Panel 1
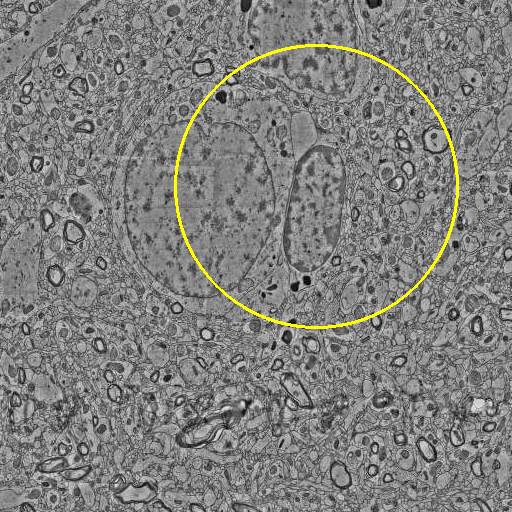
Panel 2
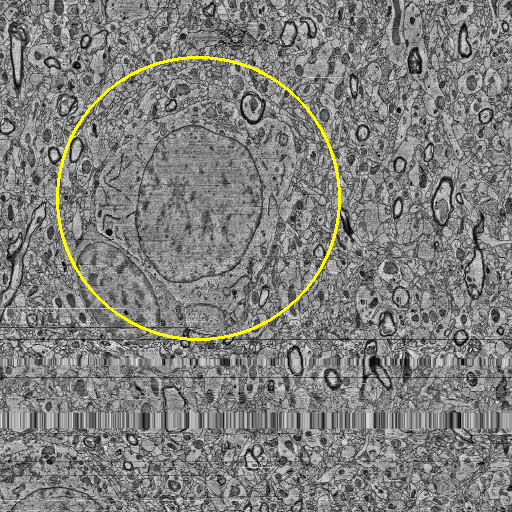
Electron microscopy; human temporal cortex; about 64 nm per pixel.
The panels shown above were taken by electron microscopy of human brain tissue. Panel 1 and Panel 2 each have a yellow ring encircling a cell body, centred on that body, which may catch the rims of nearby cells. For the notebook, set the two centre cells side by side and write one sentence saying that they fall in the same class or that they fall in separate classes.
The centred cells of Panel 1 and Panel 2 fall in separate classes.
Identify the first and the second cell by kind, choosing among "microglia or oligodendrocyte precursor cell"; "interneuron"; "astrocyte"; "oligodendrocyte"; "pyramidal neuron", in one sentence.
The one in the first picture is a microglial cell or oligodendrocyte precursor cell, while the one in the second is a pyramidal neuron.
